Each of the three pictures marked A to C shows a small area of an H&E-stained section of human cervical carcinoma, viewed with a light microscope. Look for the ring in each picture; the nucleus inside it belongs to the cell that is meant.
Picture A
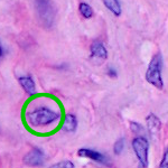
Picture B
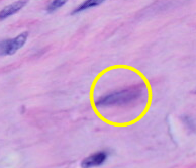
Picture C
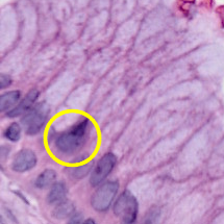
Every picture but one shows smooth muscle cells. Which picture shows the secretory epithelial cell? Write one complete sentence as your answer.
The secretory epithelial cell is the one in picture C.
